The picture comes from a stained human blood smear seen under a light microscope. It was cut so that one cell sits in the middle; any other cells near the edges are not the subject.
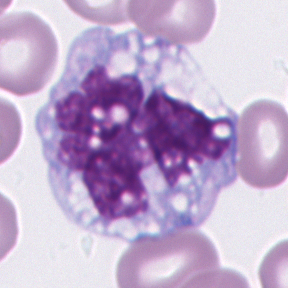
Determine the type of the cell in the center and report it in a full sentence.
The central cell in this smear crop is a monocyte.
